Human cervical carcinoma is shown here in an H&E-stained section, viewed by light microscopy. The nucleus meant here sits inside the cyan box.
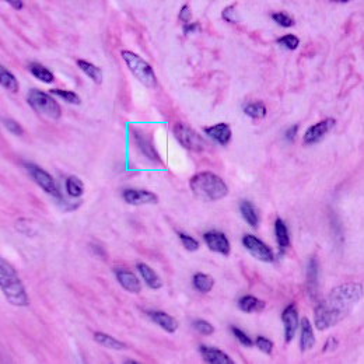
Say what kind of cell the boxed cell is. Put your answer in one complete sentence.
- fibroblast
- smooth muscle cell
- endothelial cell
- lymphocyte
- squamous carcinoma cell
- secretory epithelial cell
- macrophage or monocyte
With respect to cell type, the boxed cell is an endothelial cell.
